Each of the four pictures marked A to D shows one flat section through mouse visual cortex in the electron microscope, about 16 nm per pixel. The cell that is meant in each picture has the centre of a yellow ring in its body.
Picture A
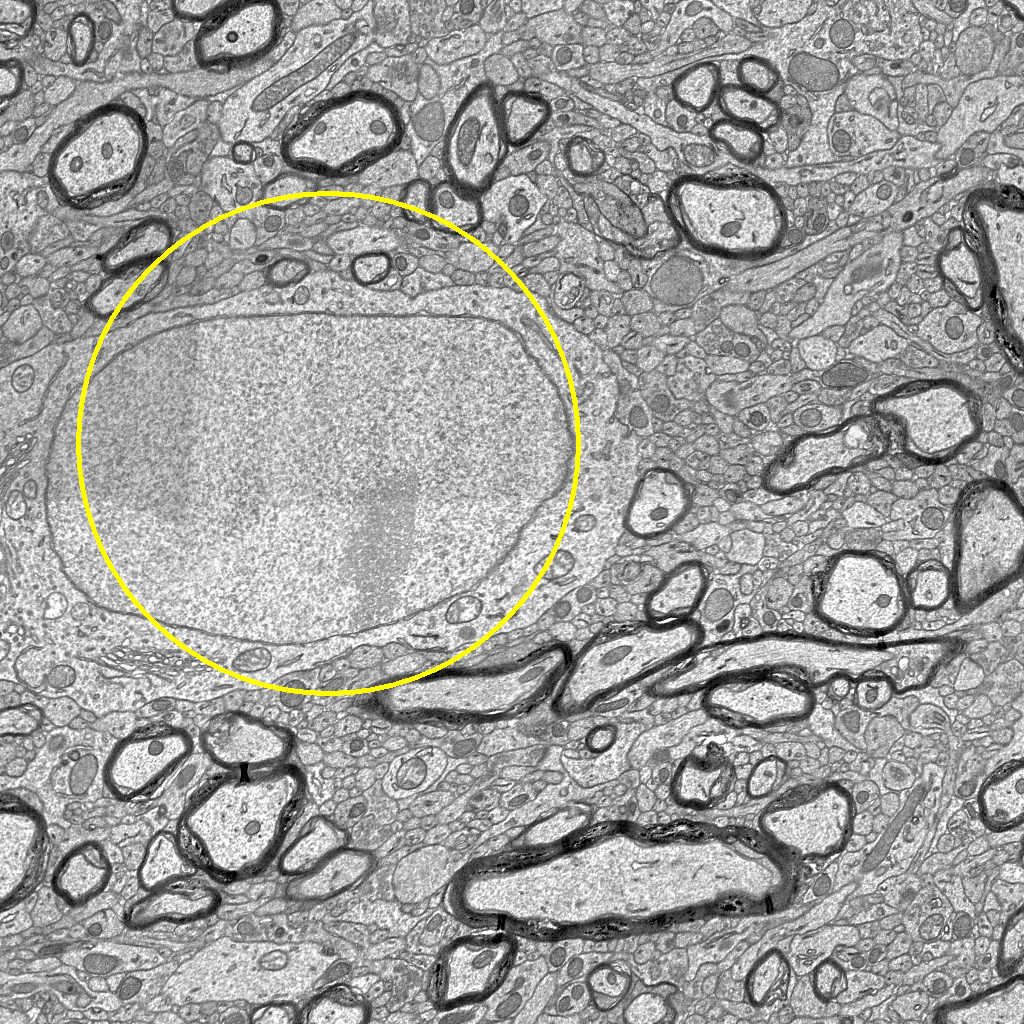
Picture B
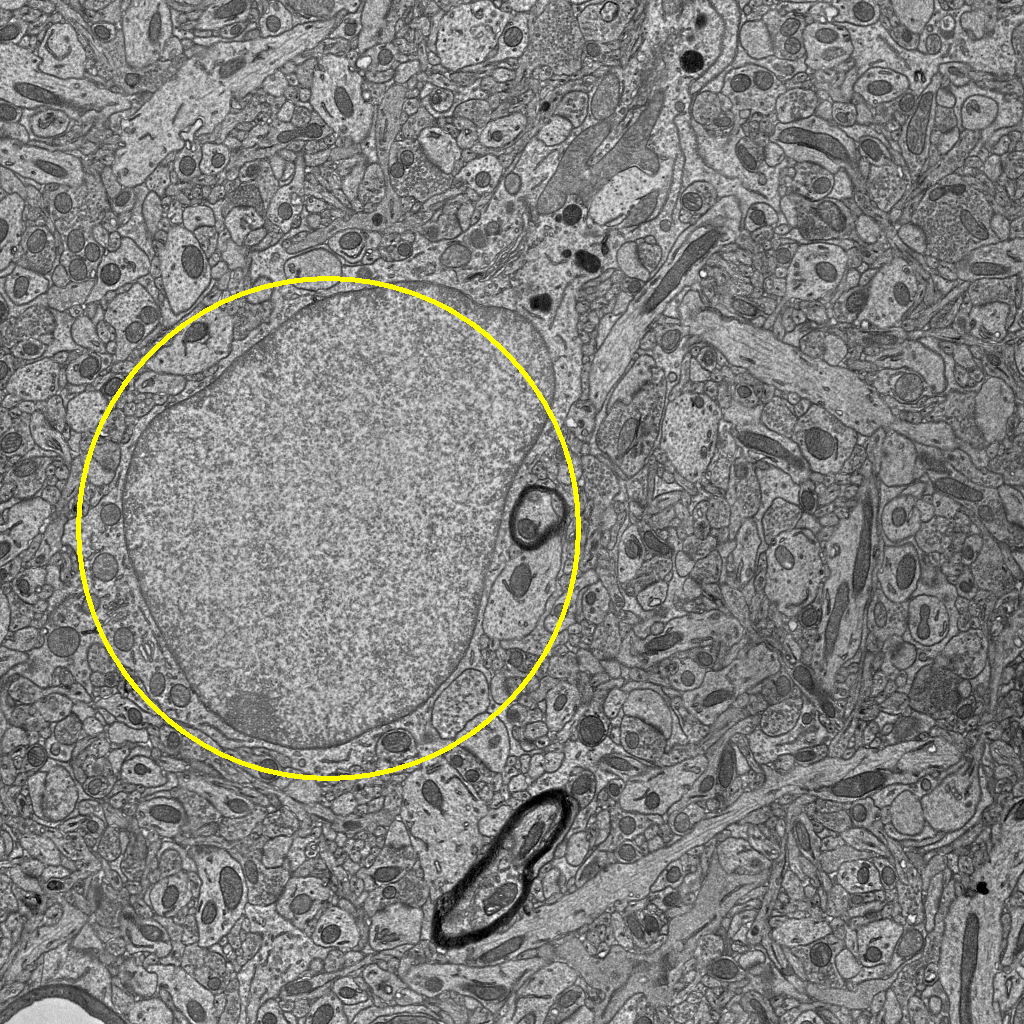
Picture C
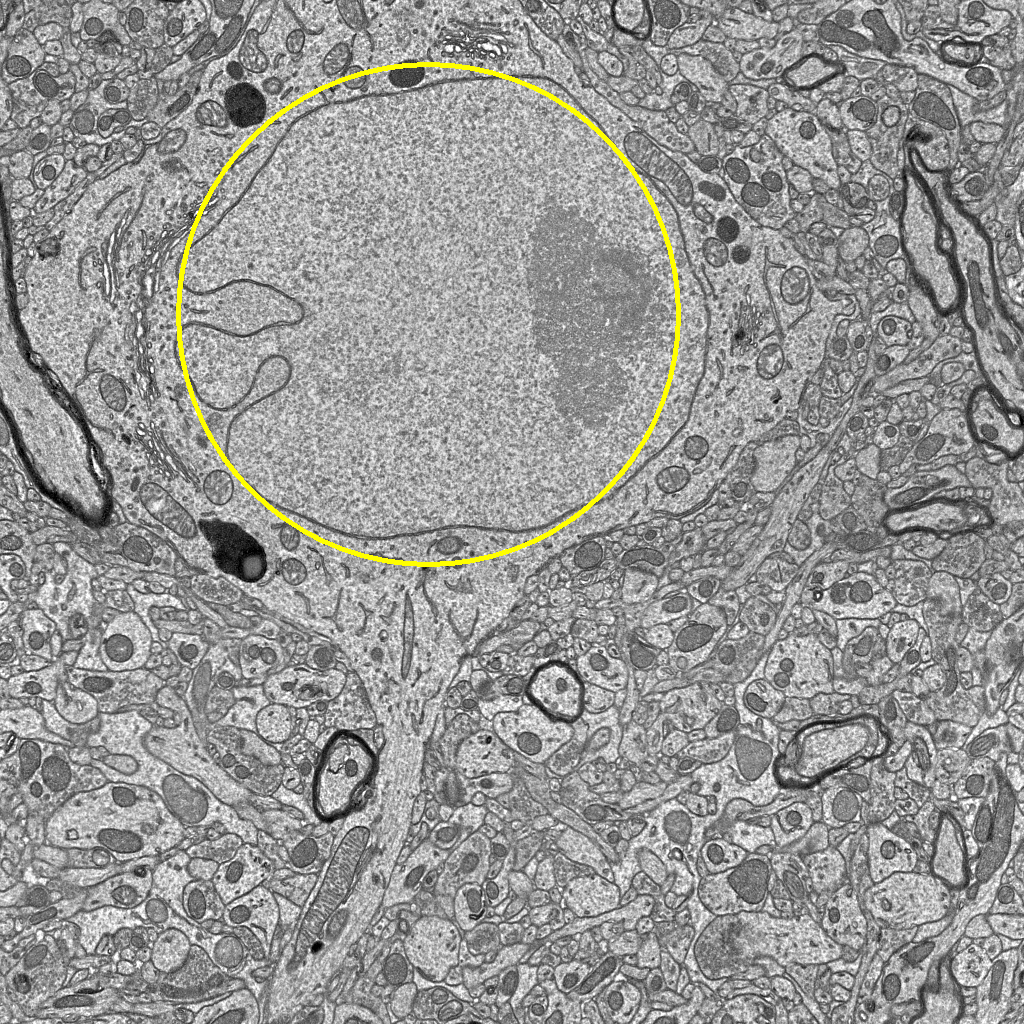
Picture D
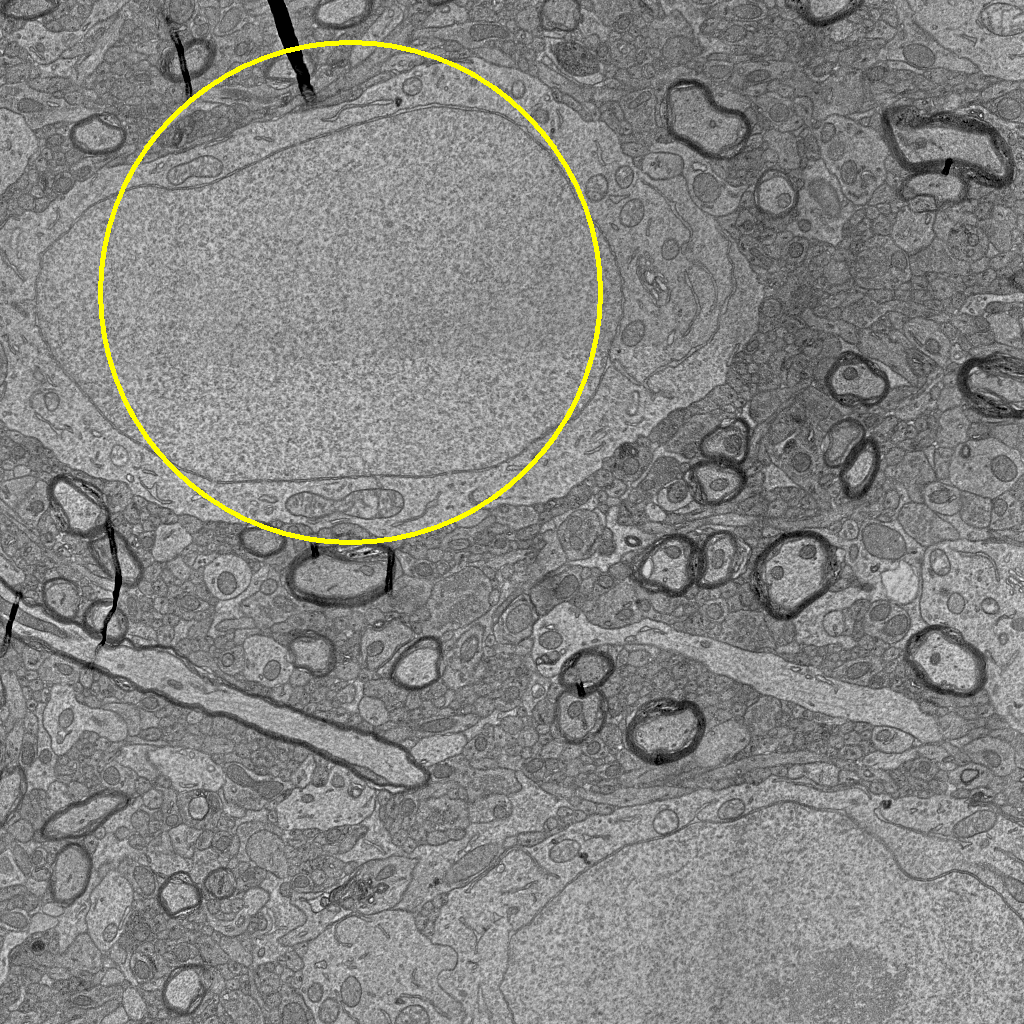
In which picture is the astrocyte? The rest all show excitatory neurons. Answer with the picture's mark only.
B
